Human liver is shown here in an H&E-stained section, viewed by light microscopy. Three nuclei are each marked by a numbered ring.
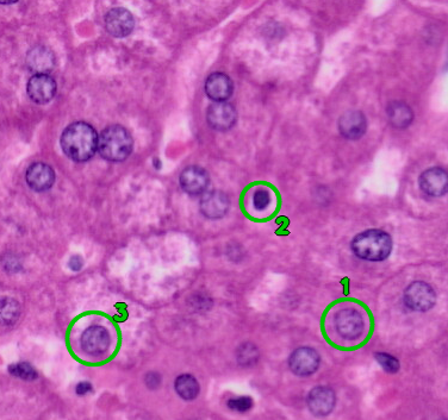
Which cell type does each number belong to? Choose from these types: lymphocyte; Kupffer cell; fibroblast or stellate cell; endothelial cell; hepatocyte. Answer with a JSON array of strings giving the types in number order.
["hepatocyte", "lymphocyte", "hepatocyte"]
